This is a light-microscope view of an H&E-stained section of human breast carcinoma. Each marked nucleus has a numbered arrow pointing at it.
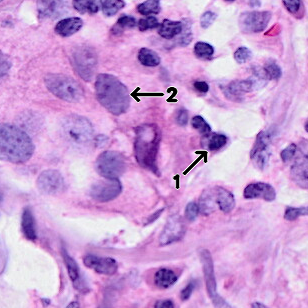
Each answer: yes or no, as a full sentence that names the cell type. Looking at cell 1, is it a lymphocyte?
Yes, the cell that bears the number 1 is a lymphocyte.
